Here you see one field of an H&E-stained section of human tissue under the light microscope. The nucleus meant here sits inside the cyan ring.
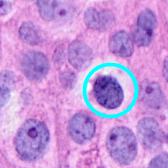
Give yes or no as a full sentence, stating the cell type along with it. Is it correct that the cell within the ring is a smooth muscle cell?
No, the cell within the ring is simply a carcinoma cell rather than a smooth muscle cell.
